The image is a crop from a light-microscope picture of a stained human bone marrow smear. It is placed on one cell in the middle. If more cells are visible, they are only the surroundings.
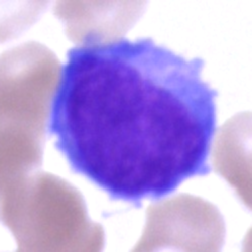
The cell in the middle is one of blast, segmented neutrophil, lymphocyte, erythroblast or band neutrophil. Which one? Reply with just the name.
blast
